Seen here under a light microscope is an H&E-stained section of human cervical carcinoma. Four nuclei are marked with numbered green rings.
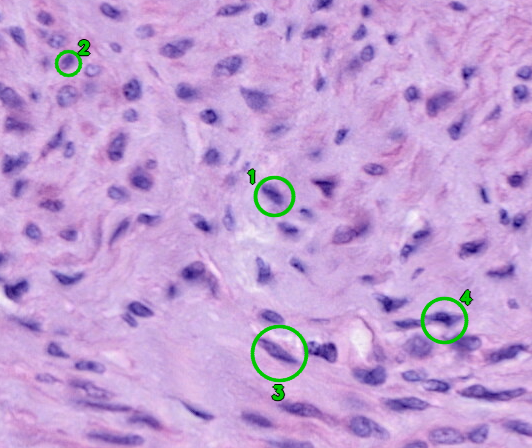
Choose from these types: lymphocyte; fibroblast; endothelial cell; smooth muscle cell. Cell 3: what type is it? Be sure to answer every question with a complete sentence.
What the number 3 marks in this field is a fibroblast.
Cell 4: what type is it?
Of the numbered cells, the one labelled 4 is a fibroblast.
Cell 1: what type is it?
Identified as a fibroblast is the cell bearing the number 1.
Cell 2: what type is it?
The cell that is numbered 2 is a smooth muscle cell.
